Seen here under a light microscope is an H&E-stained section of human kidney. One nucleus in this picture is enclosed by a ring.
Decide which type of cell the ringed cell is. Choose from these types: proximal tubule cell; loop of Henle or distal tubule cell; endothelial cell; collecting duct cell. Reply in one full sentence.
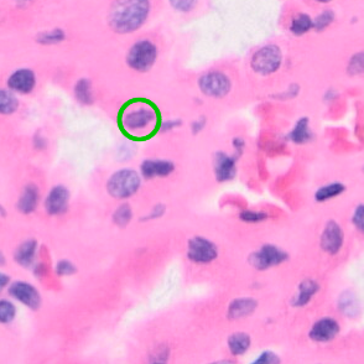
The category to which the ringed cell belongs is that of a loop of Henle or distal tubule cell.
